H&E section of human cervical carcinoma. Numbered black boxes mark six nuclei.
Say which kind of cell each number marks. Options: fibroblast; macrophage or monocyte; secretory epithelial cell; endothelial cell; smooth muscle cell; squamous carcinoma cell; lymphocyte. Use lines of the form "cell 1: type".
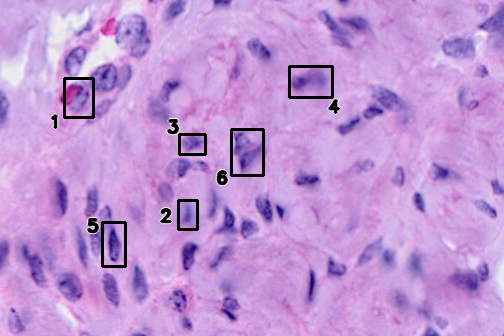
cell 1: endothelial cell
cell 2: fibroblast
cell 3: smooth muscle cell
cell 4: fibroblast
cell 5: fibroblast
cell 6: fibroblast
